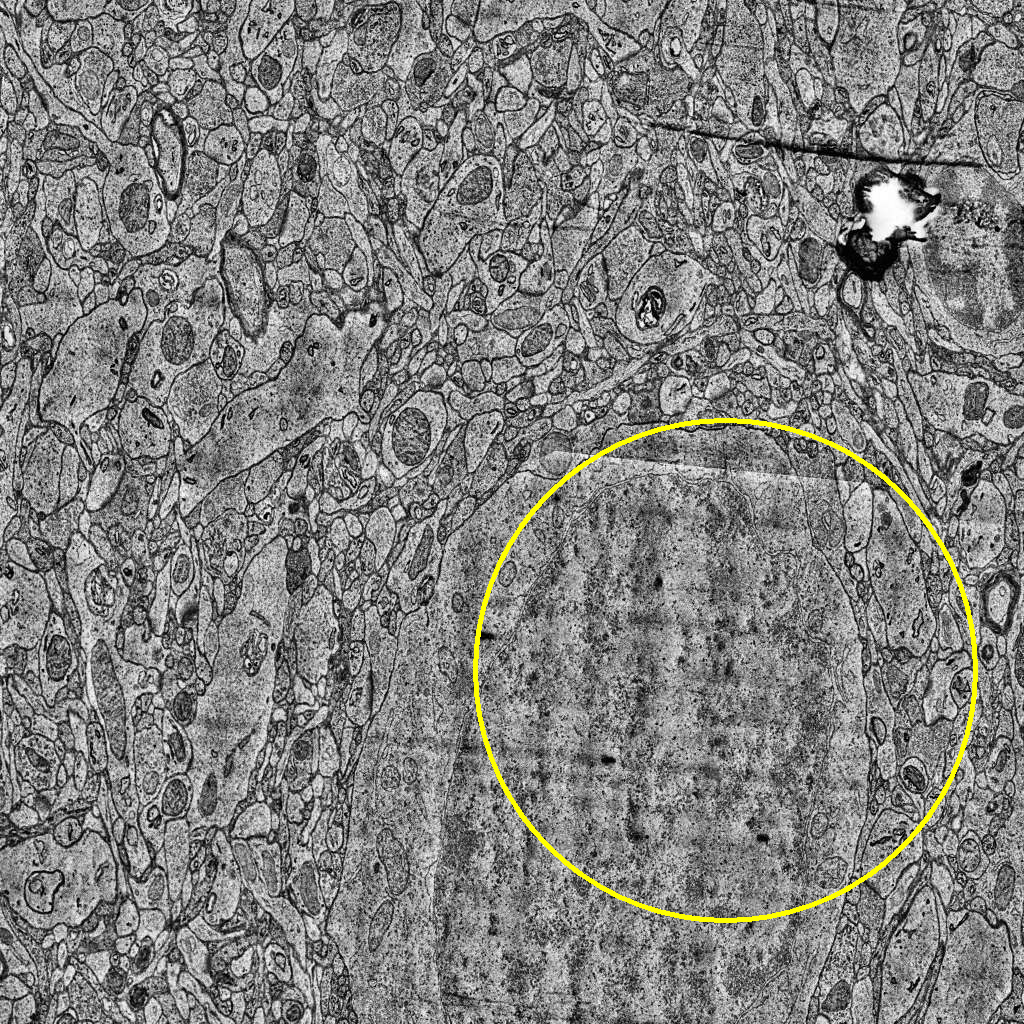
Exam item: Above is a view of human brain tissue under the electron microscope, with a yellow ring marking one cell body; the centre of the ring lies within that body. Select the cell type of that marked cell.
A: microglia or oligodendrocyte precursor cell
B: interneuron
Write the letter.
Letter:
B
